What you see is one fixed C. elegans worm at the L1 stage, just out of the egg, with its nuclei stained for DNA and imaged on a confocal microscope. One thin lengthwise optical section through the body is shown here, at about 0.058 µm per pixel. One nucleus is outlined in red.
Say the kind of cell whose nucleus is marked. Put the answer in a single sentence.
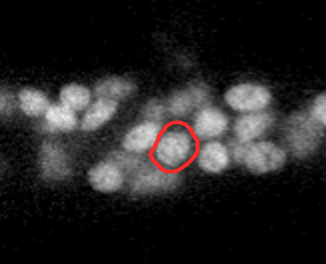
The cell with the marked nucleus is a neuron.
